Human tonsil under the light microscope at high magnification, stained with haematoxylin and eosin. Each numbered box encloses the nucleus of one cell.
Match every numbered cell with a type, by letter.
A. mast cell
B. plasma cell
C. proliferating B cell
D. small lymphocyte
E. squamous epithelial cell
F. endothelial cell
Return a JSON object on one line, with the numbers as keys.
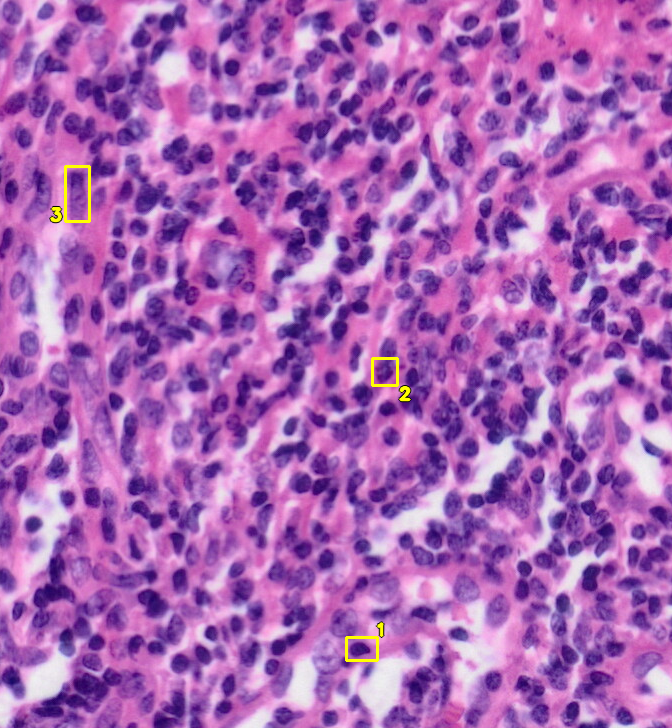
{"1": "F", "2": "B", "3": "F"}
